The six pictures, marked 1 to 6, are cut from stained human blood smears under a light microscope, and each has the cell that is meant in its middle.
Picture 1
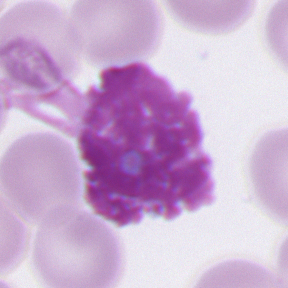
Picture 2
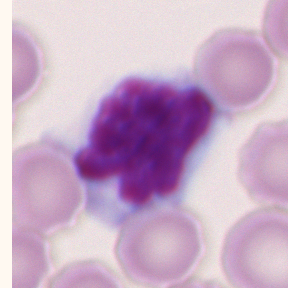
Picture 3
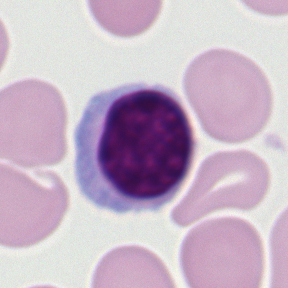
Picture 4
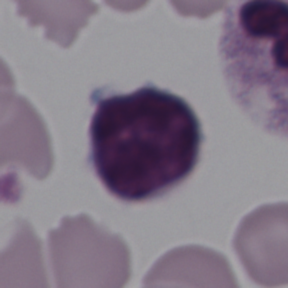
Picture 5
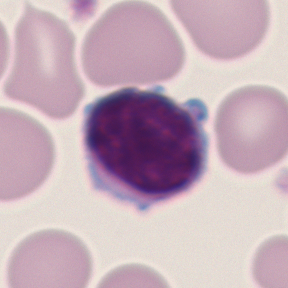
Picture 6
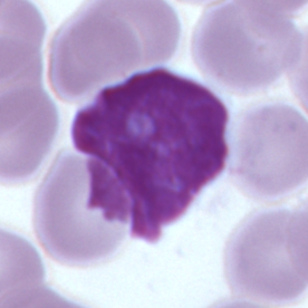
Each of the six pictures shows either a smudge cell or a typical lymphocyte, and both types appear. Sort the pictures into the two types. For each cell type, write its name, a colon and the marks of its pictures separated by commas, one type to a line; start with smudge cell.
smudge cell: 1, 6
typical lymphocyte: 2, 3, 4, 5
